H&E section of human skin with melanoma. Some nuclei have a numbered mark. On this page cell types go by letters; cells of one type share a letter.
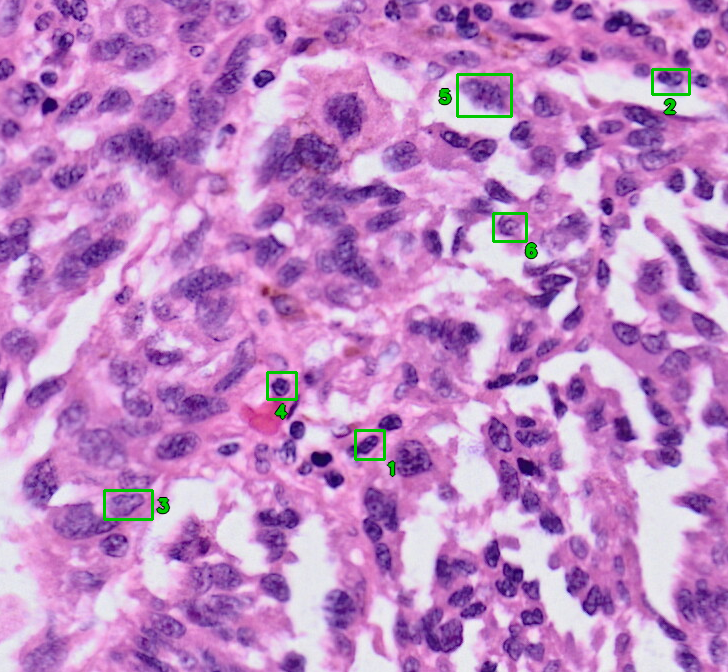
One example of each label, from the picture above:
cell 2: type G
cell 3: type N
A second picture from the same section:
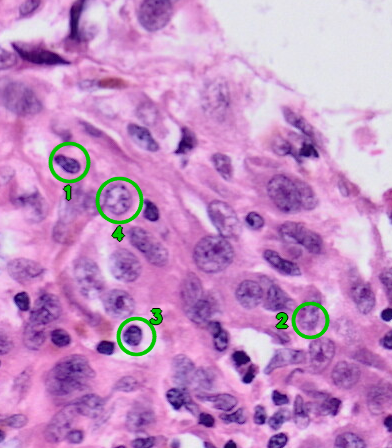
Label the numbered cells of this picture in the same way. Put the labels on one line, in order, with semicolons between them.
type G; type N; type G; type N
